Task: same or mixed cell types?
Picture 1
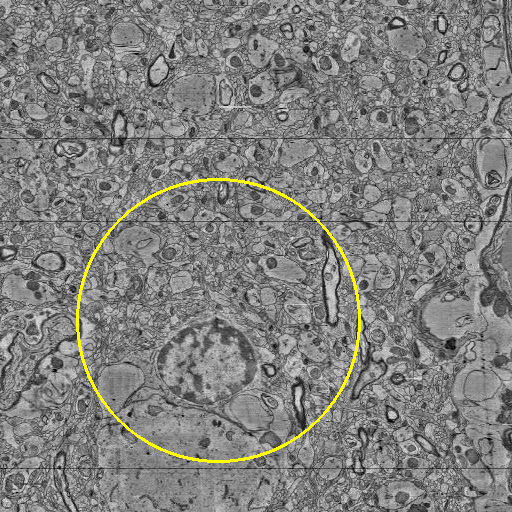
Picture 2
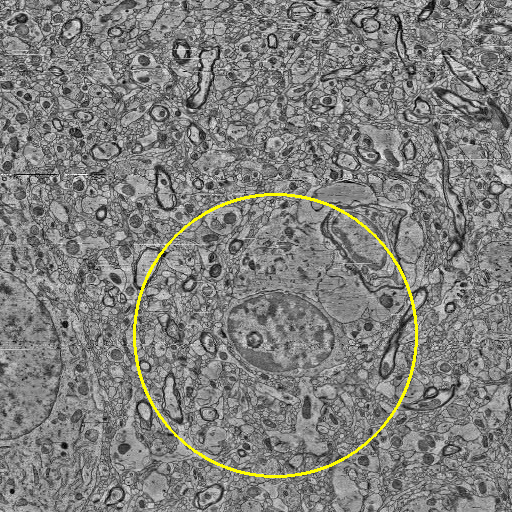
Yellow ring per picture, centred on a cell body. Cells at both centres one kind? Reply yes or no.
no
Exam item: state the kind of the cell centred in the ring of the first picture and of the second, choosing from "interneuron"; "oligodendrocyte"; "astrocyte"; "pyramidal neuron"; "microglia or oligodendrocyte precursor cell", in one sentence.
The first picture shows a microglial cell or oligodendrocyte precursor cell at the ring centre and the second shows an oligodendrocyte.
